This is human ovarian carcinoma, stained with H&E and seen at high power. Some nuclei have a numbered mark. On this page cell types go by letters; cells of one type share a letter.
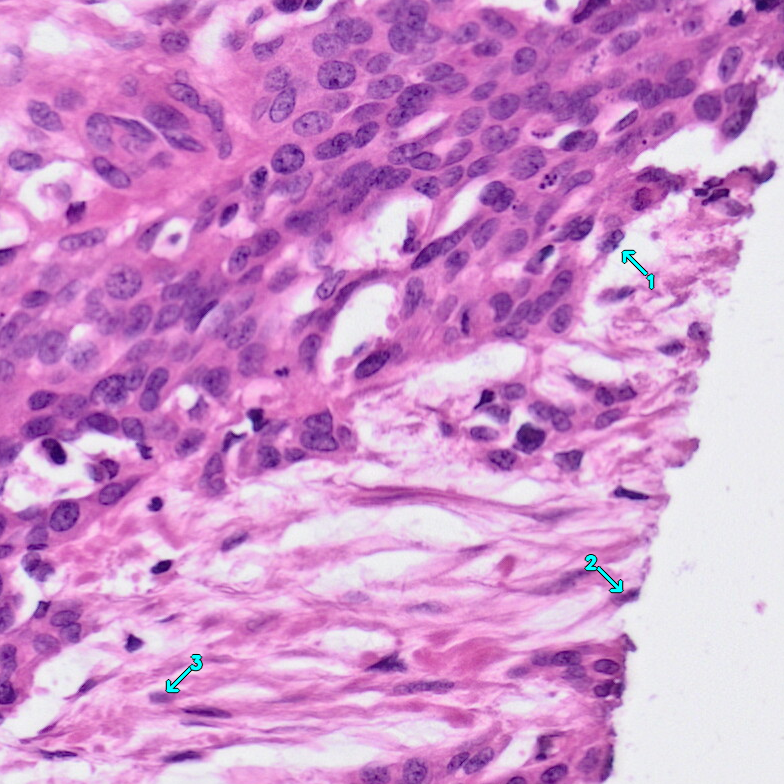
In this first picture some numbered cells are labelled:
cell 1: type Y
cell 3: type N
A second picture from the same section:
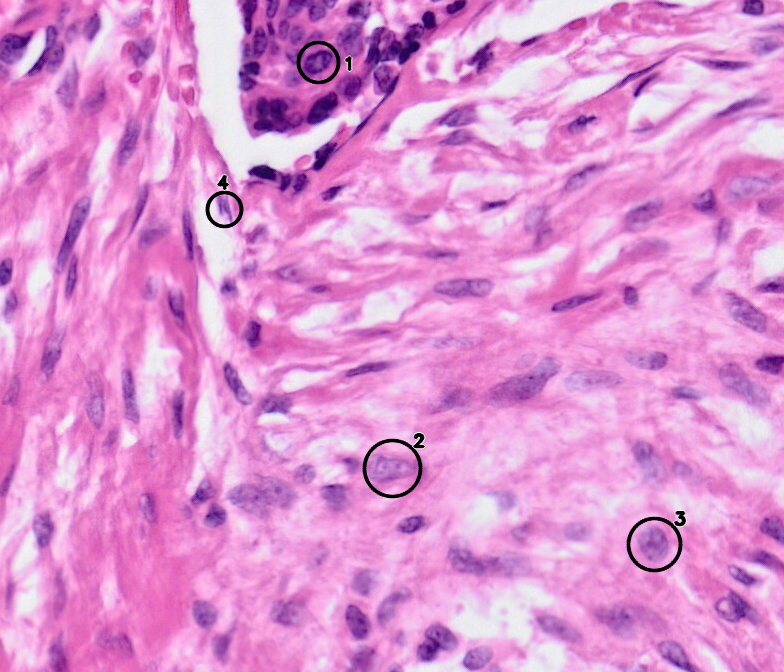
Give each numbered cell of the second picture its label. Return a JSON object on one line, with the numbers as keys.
{"1": "type Y", "2": "type N", "3": "type N", "4": "type N"}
